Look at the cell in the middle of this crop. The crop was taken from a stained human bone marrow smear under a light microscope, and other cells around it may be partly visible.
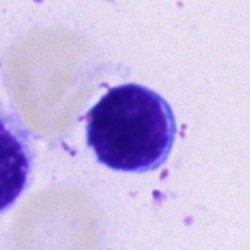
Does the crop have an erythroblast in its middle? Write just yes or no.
no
